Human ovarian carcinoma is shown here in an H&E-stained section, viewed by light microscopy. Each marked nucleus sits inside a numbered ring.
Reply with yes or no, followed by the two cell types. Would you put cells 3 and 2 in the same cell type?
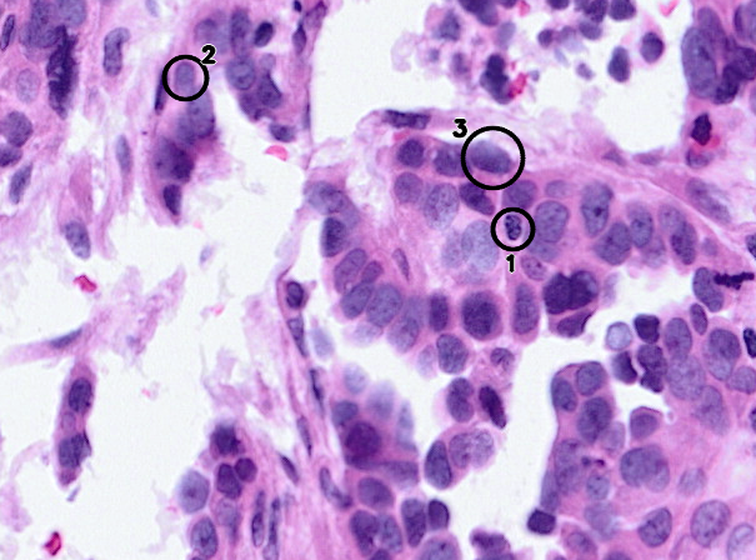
Yes, both cells 3 and 2 are carcinoma cells.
